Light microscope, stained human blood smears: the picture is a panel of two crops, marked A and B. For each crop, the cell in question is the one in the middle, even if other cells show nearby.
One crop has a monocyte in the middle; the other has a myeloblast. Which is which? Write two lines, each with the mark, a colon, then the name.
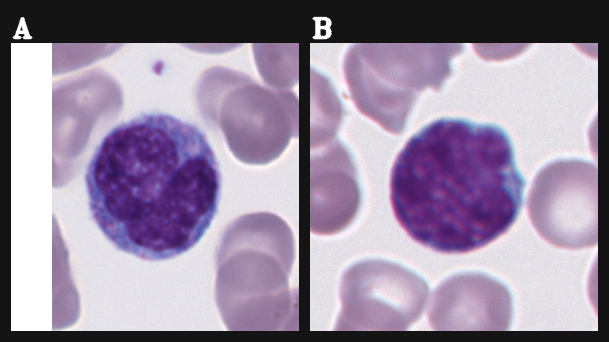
A: monocyte
B: myeloblast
